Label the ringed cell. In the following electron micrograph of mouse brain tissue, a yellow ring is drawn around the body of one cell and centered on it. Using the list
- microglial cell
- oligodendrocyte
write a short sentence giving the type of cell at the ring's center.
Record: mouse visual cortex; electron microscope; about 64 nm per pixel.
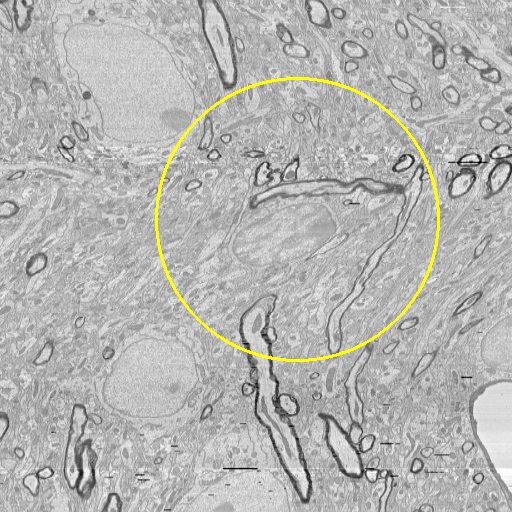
The cell body at the ring's center is that of an oligodendrocyte.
